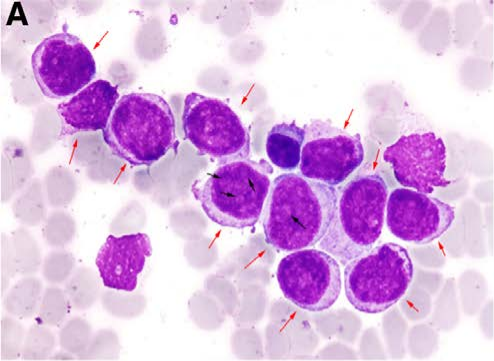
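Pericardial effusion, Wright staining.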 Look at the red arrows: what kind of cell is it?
blast cells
